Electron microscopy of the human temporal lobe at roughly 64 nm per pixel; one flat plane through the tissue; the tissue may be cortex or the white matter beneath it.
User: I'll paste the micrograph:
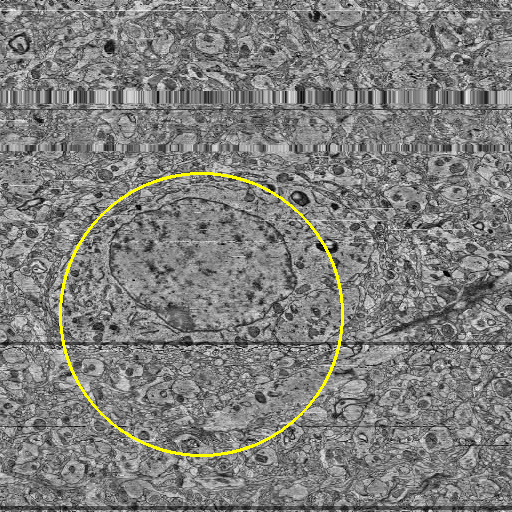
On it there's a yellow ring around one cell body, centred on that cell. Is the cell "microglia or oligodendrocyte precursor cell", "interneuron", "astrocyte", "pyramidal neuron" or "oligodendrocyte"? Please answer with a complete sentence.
The cell ringed in yellow is a pyramidal neuron.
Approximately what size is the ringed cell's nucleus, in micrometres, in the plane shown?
The nucleus of the ringed cell is approximately 12 by 9 micrometres in this plane.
